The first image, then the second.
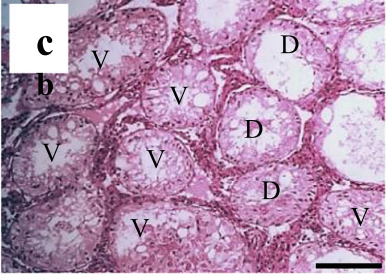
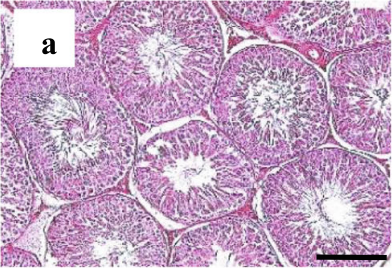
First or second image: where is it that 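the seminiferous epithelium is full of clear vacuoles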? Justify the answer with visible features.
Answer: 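The first image. First image: many tubules show epithelium riddled with clear round holes, and some lumens are wide and empty. Second image: tubules have compact, layered epithelium with no clear holes and fibrillar material in the lumen.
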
